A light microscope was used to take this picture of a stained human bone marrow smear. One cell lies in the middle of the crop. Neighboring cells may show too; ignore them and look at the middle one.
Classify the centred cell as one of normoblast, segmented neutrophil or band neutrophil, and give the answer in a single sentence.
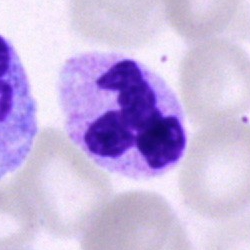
This crop's central cell is a segmented neutrophil.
